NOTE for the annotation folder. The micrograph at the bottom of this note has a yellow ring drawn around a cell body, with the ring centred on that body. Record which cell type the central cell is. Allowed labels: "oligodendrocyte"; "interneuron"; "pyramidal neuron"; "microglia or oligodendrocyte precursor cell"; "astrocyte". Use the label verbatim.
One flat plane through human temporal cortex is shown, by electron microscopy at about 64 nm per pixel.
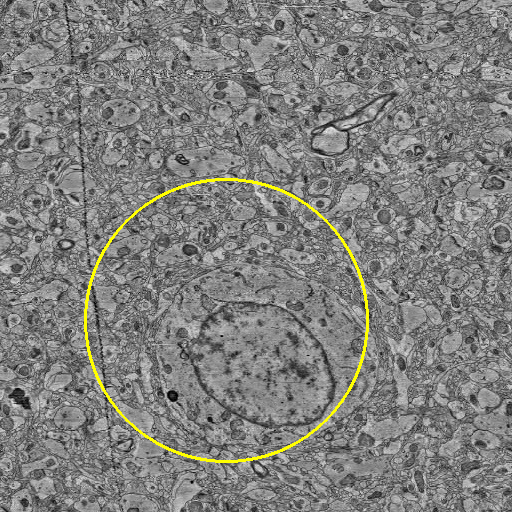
pyramidal neuron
